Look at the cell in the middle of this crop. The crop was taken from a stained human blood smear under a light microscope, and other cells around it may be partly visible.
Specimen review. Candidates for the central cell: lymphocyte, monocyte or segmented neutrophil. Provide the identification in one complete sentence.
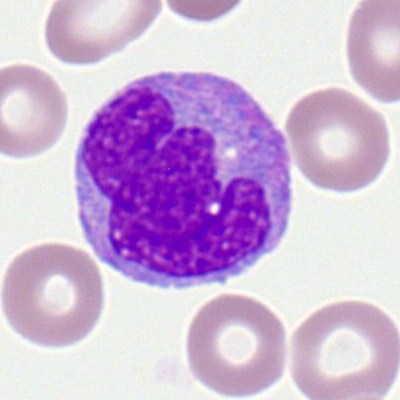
The cell at the centre of the field is a monocyte.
